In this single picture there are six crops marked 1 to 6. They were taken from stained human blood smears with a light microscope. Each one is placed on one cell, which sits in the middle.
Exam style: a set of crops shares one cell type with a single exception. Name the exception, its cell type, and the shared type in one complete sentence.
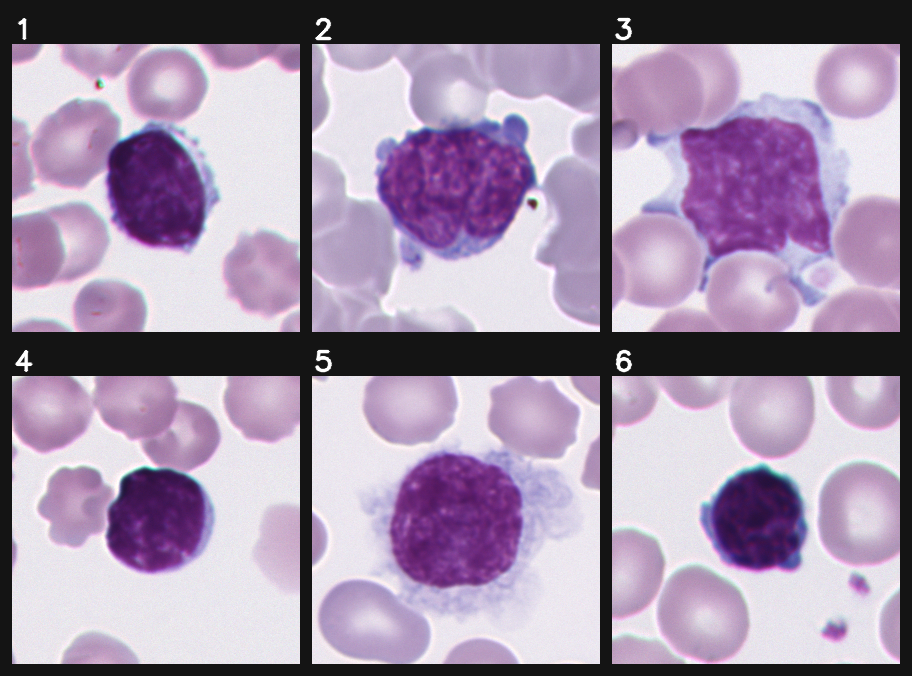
The different crop is crop 5, a hairy cell; all the others show typical lymphocytes.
